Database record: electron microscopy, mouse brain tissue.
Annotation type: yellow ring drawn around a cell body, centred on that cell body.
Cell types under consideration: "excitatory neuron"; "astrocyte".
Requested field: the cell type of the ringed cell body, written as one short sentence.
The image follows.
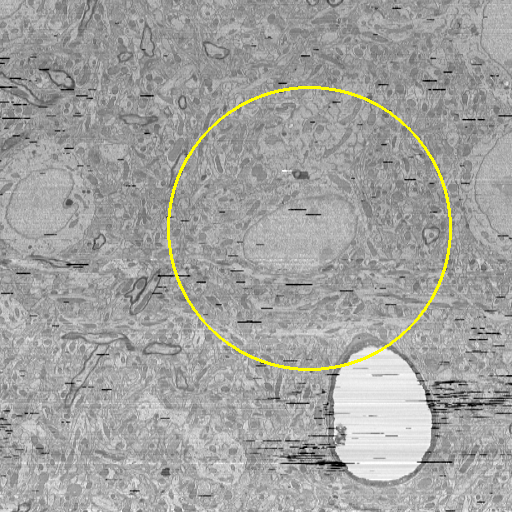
The ringed cell body represents an astrocyte.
